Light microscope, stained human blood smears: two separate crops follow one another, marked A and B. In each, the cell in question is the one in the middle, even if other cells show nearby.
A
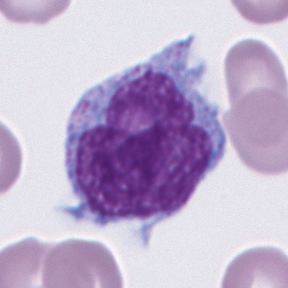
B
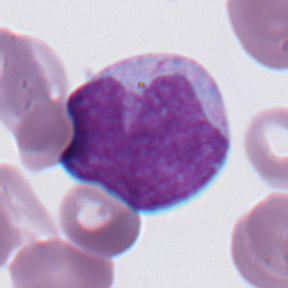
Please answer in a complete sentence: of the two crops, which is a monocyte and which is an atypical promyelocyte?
In crop A the cell is a monocyte, while in crop B it is an atypical promyelocyte.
